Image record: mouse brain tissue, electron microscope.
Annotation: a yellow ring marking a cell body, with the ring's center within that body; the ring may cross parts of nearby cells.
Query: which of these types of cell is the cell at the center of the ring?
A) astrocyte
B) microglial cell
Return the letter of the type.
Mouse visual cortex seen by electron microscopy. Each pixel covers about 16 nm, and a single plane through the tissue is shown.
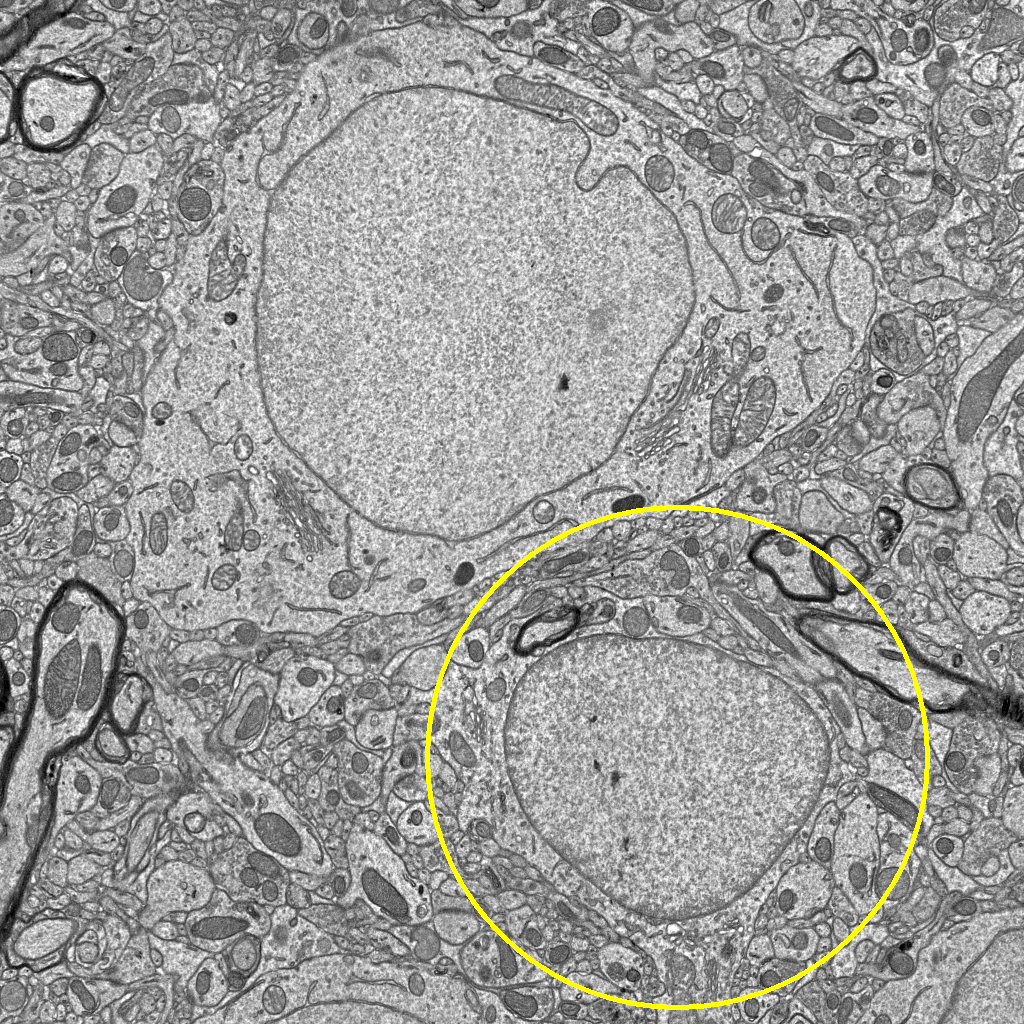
A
